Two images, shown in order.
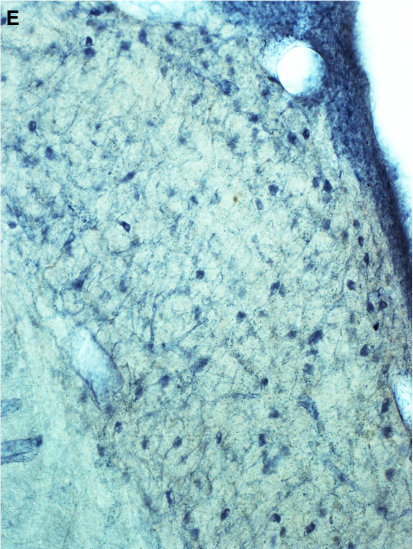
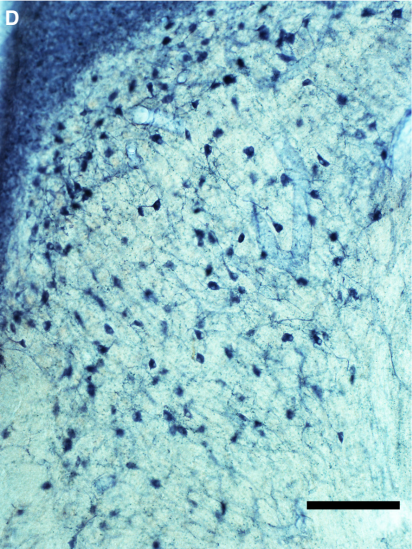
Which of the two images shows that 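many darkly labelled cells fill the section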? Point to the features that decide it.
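First image: labelled cell bodies are fewer and paler, spread thinly. Second image: numerous dark blue cell bodies are densely scattered throughout. That points to this answer: the second image.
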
